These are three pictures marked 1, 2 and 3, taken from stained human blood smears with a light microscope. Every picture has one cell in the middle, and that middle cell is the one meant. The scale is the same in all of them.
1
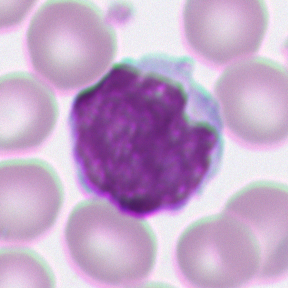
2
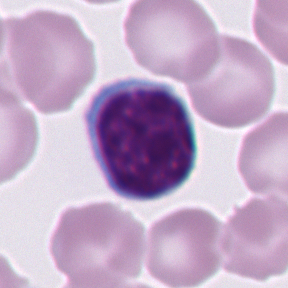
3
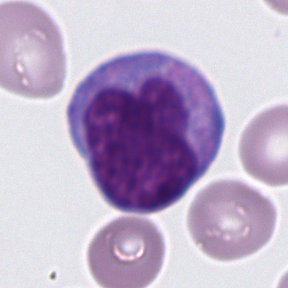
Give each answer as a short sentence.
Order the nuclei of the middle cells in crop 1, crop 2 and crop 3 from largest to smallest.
Going down, they run 1, 3, 2.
